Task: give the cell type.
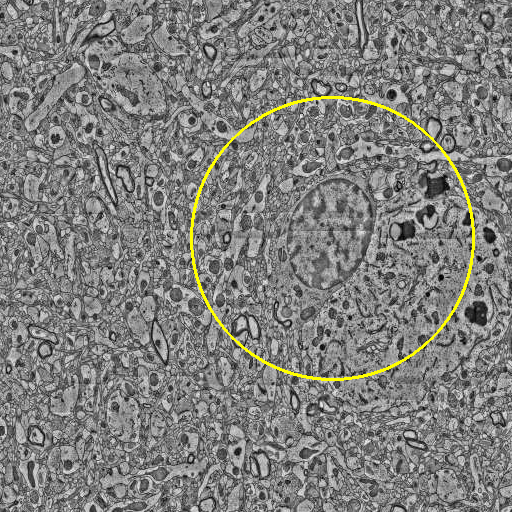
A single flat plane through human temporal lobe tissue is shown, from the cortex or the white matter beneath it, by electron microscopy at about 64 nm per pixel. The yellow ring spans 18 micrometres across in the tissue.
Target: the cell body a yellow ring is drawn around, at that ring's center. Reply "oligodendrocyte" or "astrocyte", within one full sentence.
In this picture, the cell whose body lies at the ring's center is an oligodendrocyte.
